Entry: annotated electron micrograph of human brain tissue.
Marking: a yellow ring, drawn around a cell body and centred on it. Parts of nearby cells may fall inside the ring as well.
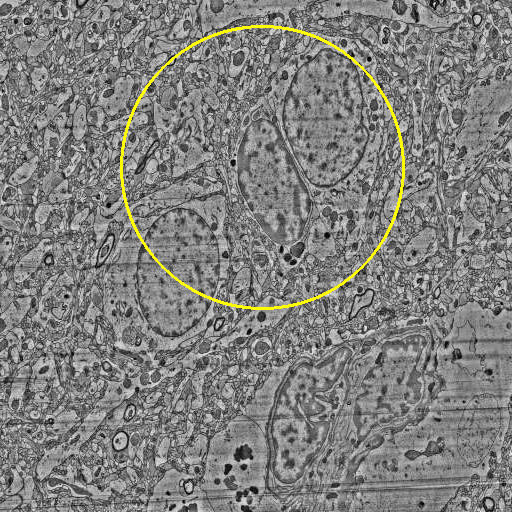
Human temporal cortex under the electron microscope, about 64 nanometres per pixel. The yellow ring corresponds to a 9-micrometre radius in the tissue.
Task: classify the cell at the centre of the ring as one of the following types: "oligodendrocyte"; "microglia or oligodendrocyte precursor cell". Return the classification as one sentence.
The marked cell is classified as a microglial cell or oligodendrocyte precursor cell.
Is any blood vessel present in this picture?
Yes.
